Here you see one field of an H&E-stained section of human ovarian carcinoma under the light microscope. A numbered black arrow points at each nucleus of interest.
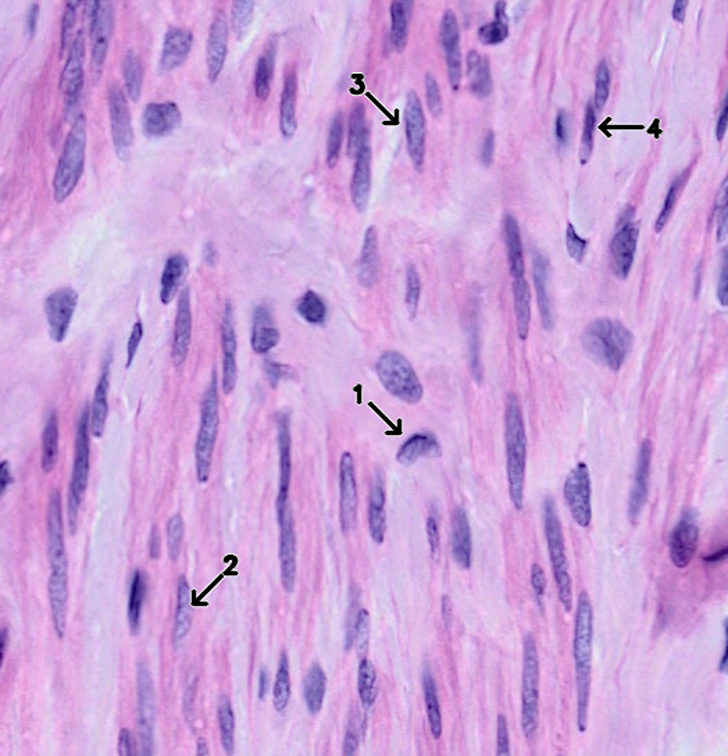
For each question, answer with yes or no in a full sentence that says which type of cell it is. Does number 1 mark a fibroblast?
Yes, kindly take note: the cell numbered 1 is a fibroblast.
